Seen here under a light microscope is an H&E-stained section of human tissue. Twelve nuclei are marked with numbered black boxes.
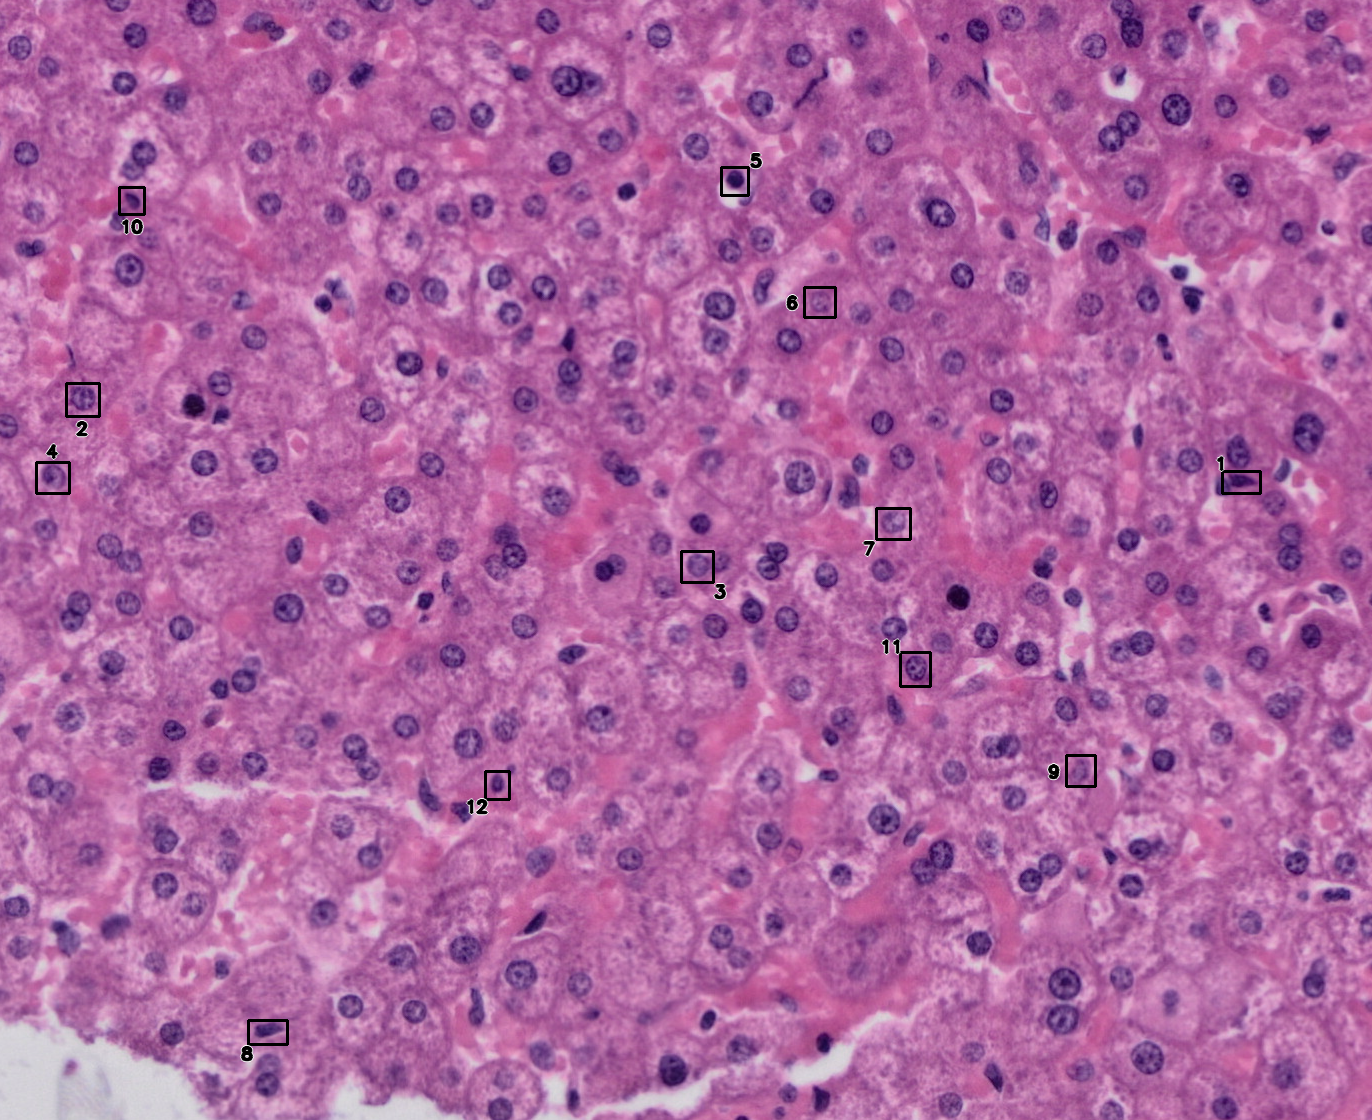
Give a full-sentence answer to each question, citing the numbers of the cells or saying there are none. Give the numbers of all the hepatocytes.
Cells 2, 3, 4, 6, 7, 9 and 11 are hepatocytes by cell type.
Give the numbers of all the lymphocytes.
The cells numbered 5 and 12 are typed as lymphocytes.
